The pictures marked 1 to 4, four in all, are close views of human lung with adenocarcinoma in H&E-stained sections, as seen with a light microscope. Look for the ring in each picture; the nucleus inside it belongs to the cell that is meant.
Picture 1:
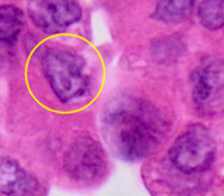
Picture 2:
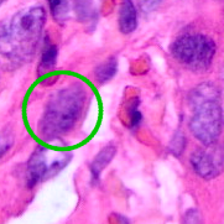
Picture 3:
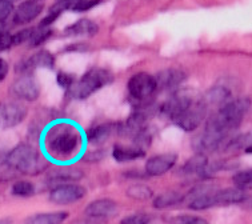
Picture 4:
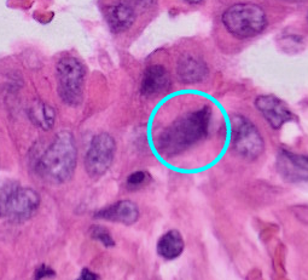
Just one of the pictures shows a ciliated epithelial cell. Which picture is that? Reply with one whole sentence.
The picture with the ciliated epithelial cell is 3.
